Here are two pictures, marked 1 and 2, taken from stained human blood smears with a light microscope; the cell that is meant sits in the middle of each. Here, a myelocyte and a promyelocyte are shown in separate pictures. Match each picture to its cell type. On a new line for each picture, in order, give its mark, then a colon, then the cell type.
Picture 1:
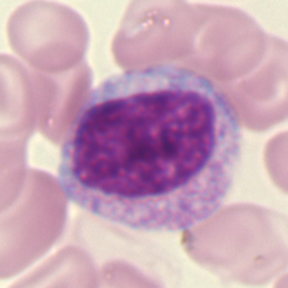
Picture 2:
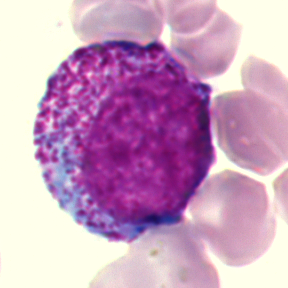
1: myelocyte
2: promyelocyte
